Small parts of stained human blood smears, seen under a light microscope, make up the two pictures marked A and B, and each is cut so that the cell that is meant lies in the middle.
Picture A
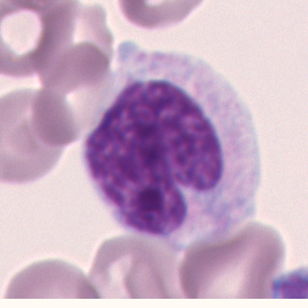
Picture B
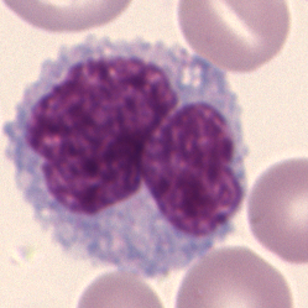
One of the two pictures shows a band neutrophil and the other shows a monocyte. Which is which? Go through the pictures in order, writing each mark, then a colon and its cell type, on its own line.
A: band neutrophil
B: monocyte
